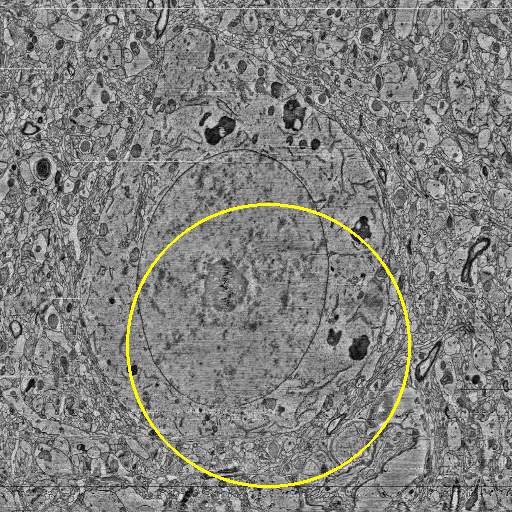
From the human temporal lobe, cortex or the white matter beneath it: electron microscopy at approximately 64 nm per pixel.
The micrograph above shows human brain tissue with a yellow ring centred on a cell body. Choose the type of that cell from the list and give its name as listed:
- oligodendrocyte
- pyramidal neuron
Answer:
pyramidal neuron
